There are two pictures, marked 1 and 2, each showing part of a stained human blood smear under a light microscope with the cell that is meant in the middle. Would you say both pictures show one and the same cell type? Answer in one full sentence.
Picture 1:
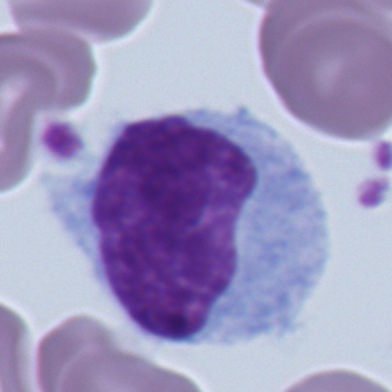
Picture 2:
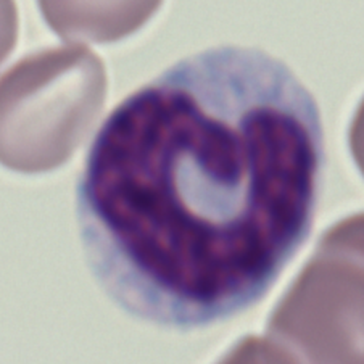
Yes, both cells are monocytes.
